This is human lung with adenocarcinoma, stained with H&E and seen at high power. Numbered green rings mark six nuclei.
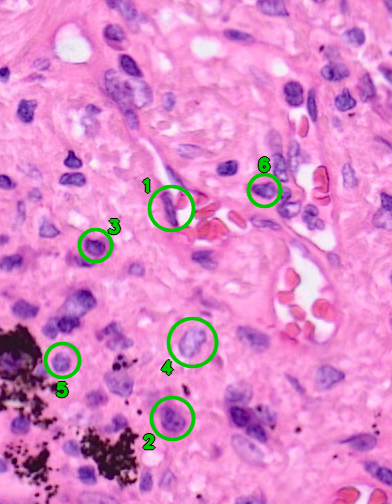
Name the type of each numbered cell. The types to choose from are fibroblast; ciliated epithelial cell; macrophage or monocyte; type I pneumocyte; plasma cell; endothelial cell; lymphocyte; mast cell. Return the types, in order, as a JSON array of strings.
["endothelial cell", "plasma cell", "plasma cell", "fibroblast", "lymphocyte", "mast cell"]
